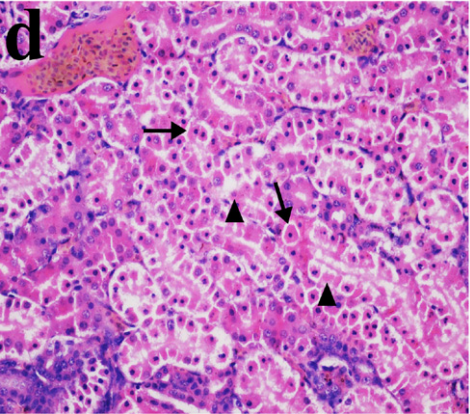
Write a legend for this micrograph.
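Kidney cortex is seen with closely packed tubules whose epithelial cells have pink cytoplasm and separated, irregular borders. Many tubular cells look pale with faded or missing nuclei, as necrotic tubular cells do. Scattered cells have small, dense, dark nuclei, fitting apoptotic tubular cells. A congested vessel with red blood cells lies at the upper edge.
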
